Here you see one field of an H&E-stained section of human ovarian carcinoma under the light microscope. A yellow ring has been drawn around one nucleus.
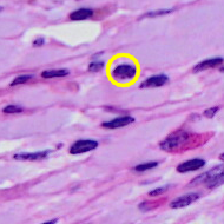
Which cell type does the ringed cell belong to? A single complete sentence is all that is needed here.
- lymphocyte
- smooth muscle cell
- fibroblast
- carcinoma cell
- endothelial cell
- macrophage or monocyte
With respect to cell type, the ringed cell is a lymphocyte.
